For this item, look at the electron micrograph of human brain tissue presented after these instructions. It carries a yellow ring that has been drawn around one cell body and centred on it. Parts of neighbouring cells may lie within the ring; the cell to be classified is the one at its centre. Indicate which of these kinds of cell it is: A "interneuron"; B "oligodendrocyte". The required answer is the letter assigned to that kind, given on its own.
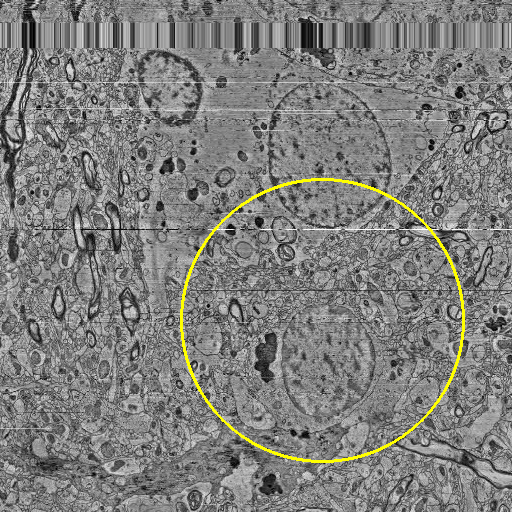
B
